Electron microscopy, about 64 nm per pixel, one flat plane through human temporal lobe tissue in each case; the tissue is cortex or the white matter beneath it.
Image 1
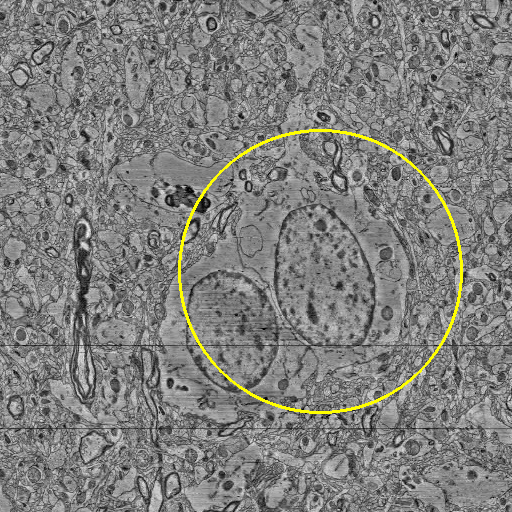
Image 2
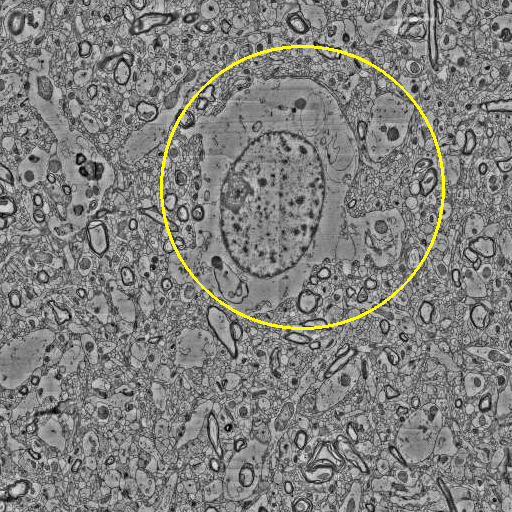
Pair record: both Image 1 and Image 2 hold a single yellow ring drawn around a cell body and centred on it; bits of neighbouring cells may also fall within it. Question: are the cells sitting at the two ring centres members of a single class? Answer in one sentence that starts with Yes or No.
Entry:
Yes, both ring-centre cells in Image 1 and Image 2 are members of one class.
